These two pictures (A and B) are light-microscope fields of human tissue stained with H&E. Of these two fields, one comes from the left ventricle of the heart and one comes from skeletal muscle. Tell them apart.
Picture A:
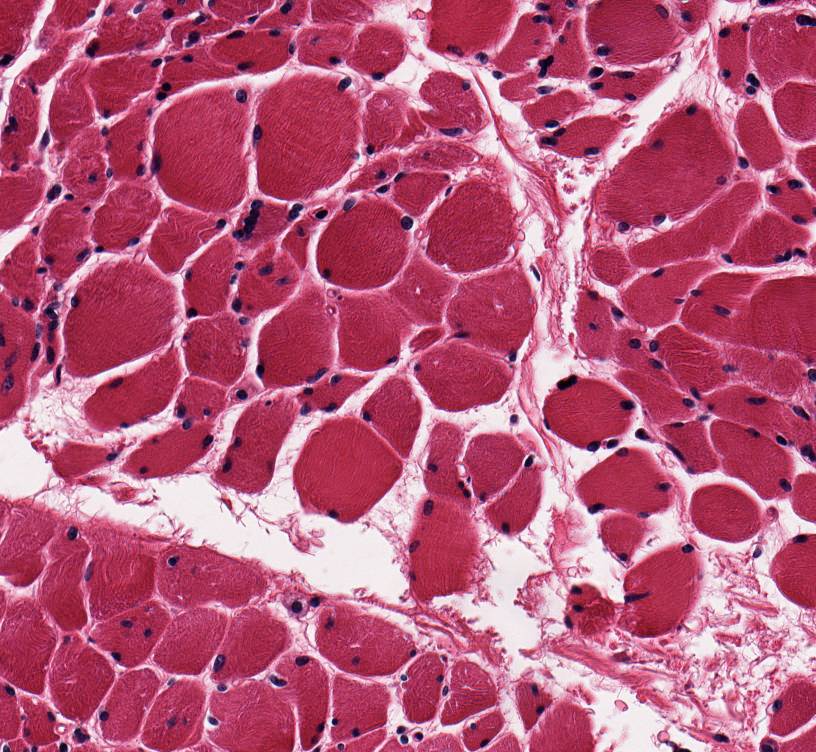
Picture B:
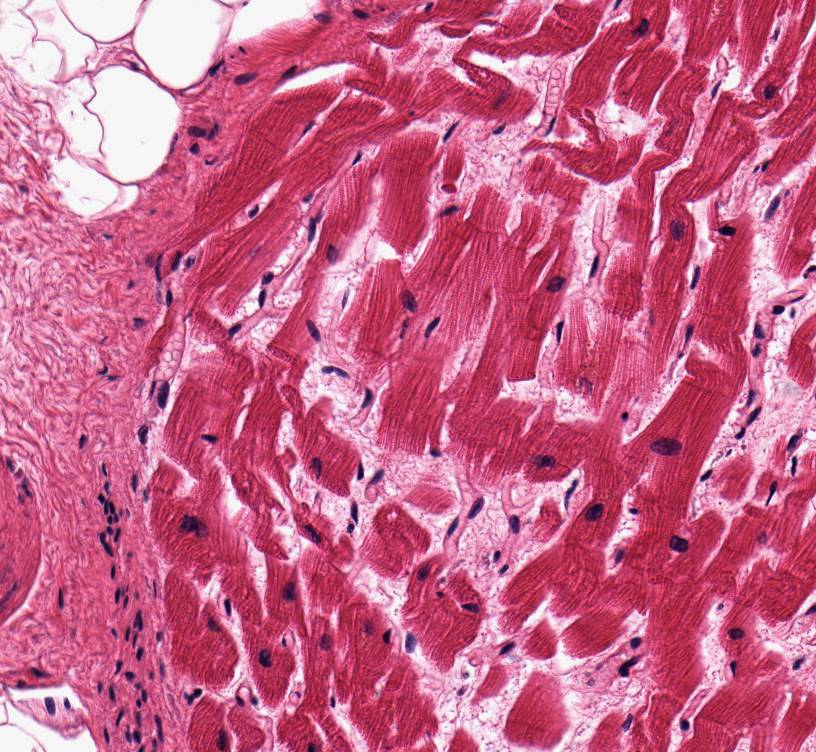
A: skeletal muscle
B: left ventricle of the heart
